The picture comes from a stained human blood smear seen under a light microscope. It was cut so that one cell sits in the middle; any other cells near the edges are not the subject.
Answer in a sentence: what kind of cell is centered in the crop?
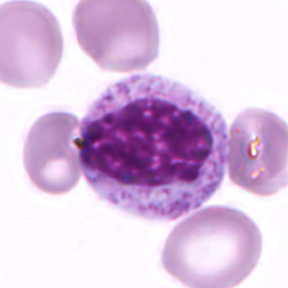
The cell at the central position in this crop is a metamyelocyte.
